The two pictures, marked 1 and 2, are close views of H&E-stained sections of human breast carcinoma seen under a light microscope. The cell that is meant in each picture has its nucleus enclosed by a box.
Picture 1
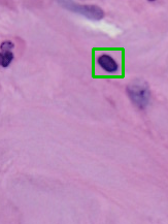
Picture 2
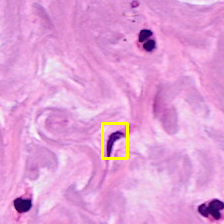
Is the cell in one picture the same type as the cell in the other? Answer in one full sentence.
No, picture 1 shows a lymphocyte and picture 2 shows a fibroblast.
